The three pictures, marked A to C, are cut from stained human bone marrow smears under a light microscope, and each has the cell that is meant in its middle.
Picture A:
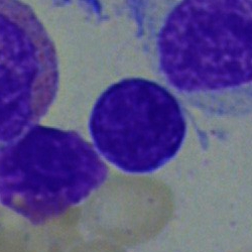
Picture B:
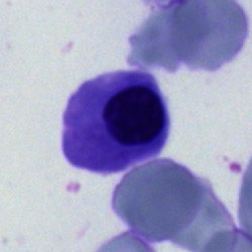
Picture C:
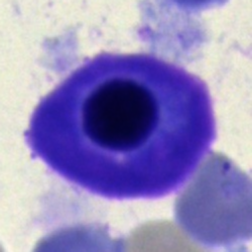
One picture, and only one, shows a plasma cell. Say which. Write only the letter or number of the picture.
C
